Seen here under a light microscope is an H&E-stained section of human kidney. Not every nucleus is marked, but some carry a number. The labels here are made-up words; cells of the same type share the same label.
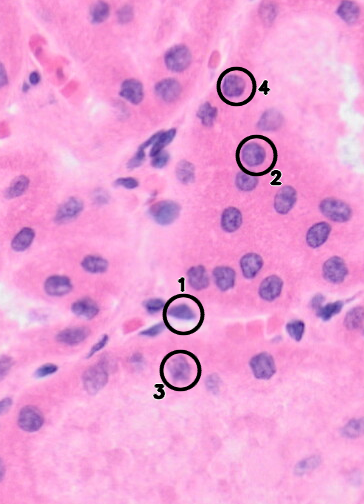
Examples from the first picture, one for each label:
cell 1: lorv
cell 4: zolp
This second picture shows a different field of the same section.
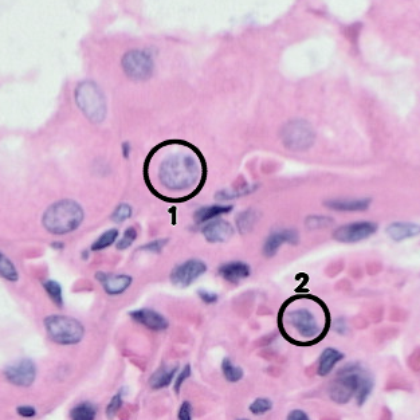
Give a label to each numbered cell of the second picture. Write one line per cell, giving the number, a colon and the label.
1: zolp
2: lorv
